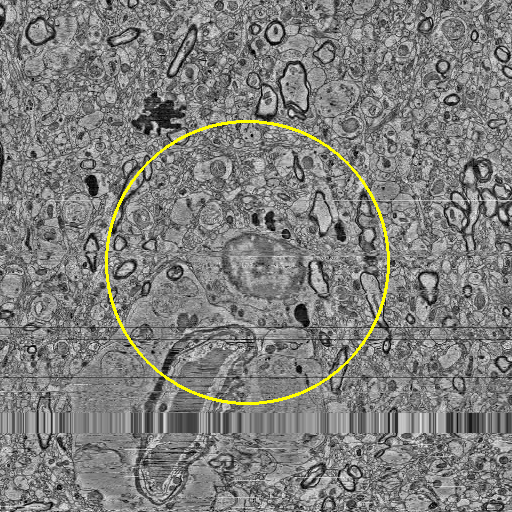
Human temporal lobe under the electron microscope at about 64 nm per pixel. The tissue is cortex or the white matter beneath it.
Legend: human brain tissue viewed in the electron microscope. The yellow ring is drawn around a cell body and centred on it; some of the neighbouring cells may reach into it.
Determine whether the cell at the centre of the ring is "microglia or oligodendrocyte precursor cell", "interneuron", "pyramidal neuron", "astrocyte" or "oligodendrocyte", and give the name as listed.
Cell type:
oligodendrocyte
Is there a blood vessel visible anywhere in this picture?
Yes, a vessel shows somewhere in the image.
